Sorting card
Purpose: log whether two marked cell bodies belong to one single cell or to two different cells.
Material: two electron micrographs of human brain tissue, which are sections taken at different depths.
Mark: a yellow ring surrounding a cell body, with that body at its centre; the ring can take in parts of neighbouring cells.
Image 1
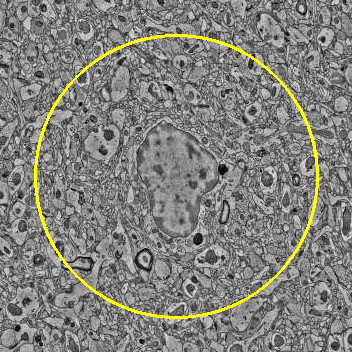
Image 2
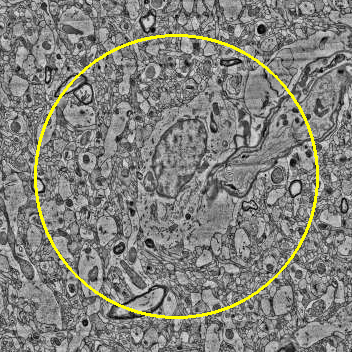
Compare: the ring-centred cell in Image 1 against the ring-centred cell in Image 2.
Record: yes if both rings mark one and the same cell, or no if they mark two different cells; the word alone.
no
